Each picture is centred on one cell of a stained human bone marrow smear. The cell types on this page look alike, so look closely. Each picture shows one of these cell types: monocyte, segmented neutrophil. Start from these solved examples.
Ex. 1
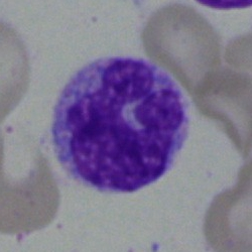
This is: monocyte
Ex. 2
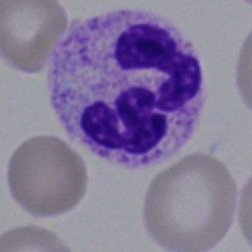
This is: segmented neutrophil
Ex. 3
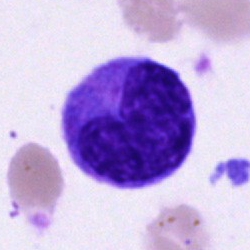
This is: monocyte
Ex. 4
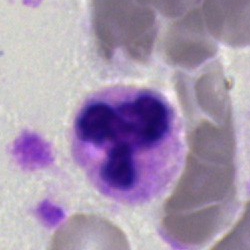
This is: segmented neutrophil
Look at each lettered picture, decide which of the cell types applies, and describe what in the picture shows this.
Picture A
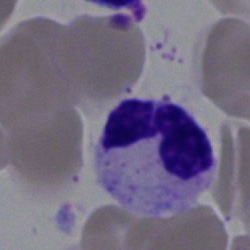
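segmented neutrophil. Reason: The cytoplasm is plentiful and pale lilac-grey.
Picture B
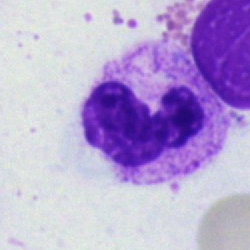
segmented neutrophil. Reason: The cytoplasm is plentiful and pale pinkish-lilac.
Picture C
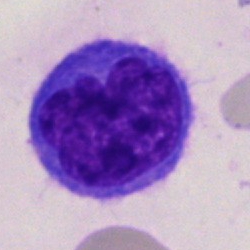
monocyte. Reason: The nucleus fills most of the cell.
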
